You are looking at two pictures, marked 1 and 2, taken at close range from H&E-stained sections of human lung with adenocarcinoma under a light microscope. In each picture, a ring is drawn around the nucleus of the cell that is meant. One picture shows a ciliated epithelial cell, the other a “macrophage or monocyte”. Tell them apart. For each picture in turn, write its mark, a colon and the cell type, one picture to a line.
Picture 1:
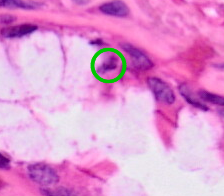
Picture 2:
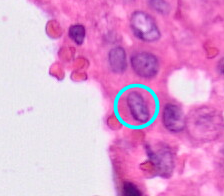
1: ciliated epithelial cell
2: macrophage or monocyte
